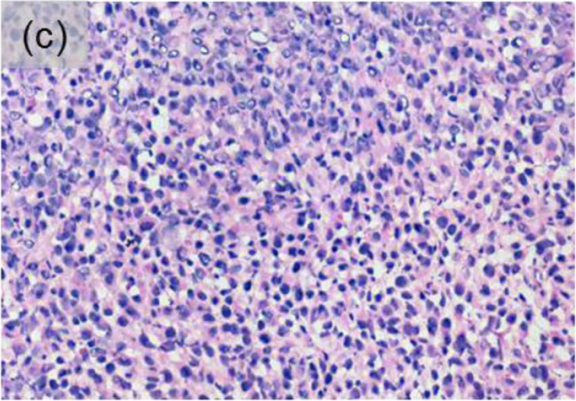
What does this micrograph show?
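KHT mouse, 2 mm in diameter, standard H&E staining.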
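Solid sheet of densely packed sarcoma cells without obvious architecture. Cytoplasm is pale pink, scant to moderate, with indistinct cell borders. Some cells appear spindle-shaped, others rounder. A few small clear spaces and vacuoles are scattered among the cells. No gland formation or layering is seen; nuclei are crowded and fairly evenly distributed across the field.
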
